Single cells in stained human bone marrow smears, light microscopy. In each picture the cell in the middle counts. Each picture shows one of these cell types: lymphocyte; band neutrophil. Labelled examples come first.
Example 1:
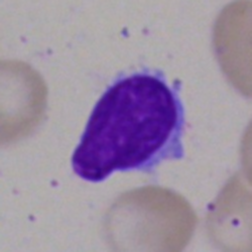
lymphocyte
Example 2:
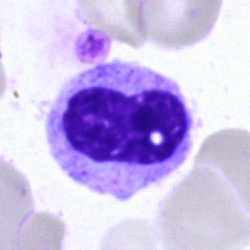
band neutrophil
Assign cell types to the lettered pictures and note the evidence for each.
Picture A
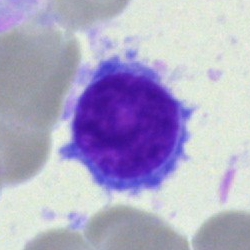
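lymphocyte. Reason: The cytoplasm forms only a thin rim around the nucleus.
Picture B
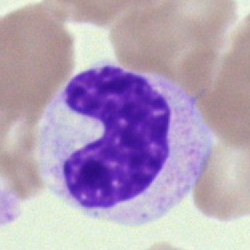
band neutrophil. Reason: Fine lilac-pink granules are scattered through the cytoplasm.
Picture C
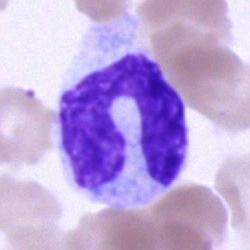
band neutrophil. Reason: The nucleus is one continuous band, not split into separate lobes.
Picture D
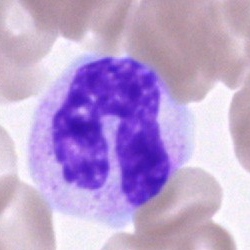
band neutrophil. Reason: The nucleus is bent into a horseshoe whose open side faces downward.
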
